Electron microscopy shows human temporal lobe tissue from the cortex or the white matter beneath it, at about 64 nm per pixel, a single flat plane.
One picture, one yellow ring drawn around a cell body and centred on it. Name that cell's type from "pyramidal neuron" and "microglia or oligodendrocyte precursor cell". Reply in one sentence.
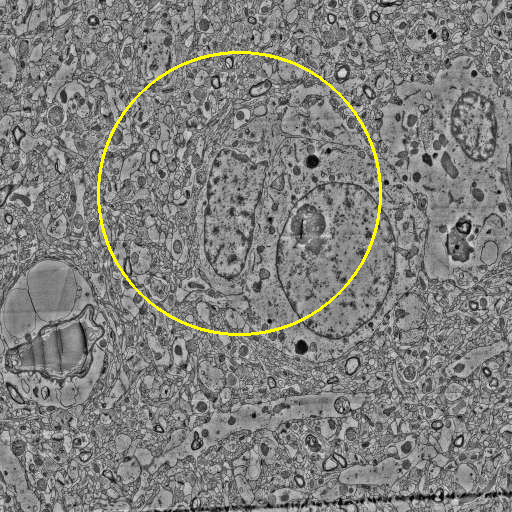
Centred in the ring is a microglial cell or oligodendrocyte precursor cell.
